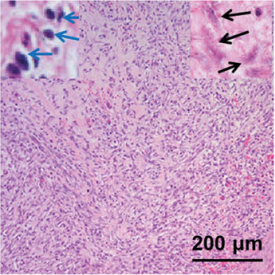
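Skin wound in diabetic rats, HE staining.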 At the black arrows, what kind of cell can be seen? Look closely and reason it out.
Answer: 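The black arrows in the right inset point to cells with elongated, spindle-shaped nuclei. These cells lie in pale pink matrix.
Answer: fibroblasts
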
